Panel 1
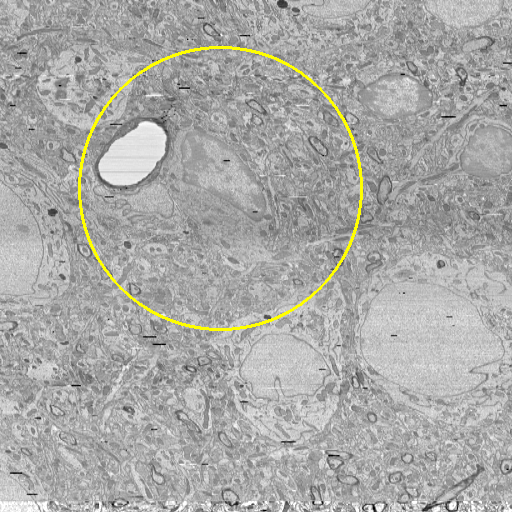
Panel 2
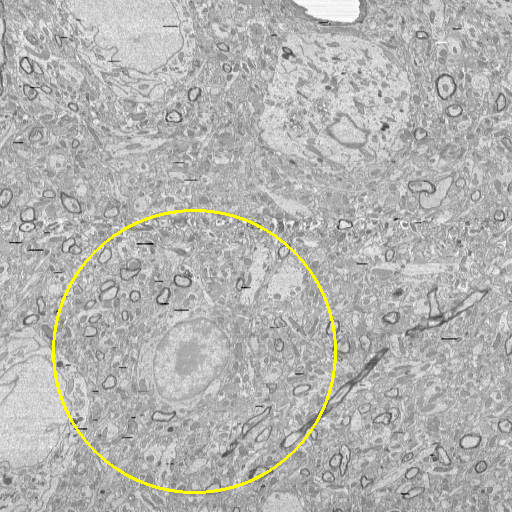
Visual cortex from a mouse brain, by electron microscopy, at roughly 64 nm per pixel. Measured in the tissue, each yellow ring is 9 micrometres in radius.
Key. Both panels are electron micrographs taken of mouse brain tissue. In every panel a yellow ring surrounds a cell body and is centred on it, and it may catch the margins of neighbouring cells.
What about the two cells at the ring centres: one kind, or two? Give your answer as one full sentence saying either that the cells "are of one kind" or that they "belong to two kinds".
Across Panels 1 and 2, the two cells at the ring centres are of one kind.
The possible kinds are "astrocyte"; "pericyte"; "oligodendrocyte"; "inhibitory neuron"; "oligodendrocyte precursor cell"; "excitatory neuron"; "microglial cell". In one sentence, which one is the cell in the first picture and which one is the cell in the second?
Both rings mark an oligodendrocyte, one in each picture.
